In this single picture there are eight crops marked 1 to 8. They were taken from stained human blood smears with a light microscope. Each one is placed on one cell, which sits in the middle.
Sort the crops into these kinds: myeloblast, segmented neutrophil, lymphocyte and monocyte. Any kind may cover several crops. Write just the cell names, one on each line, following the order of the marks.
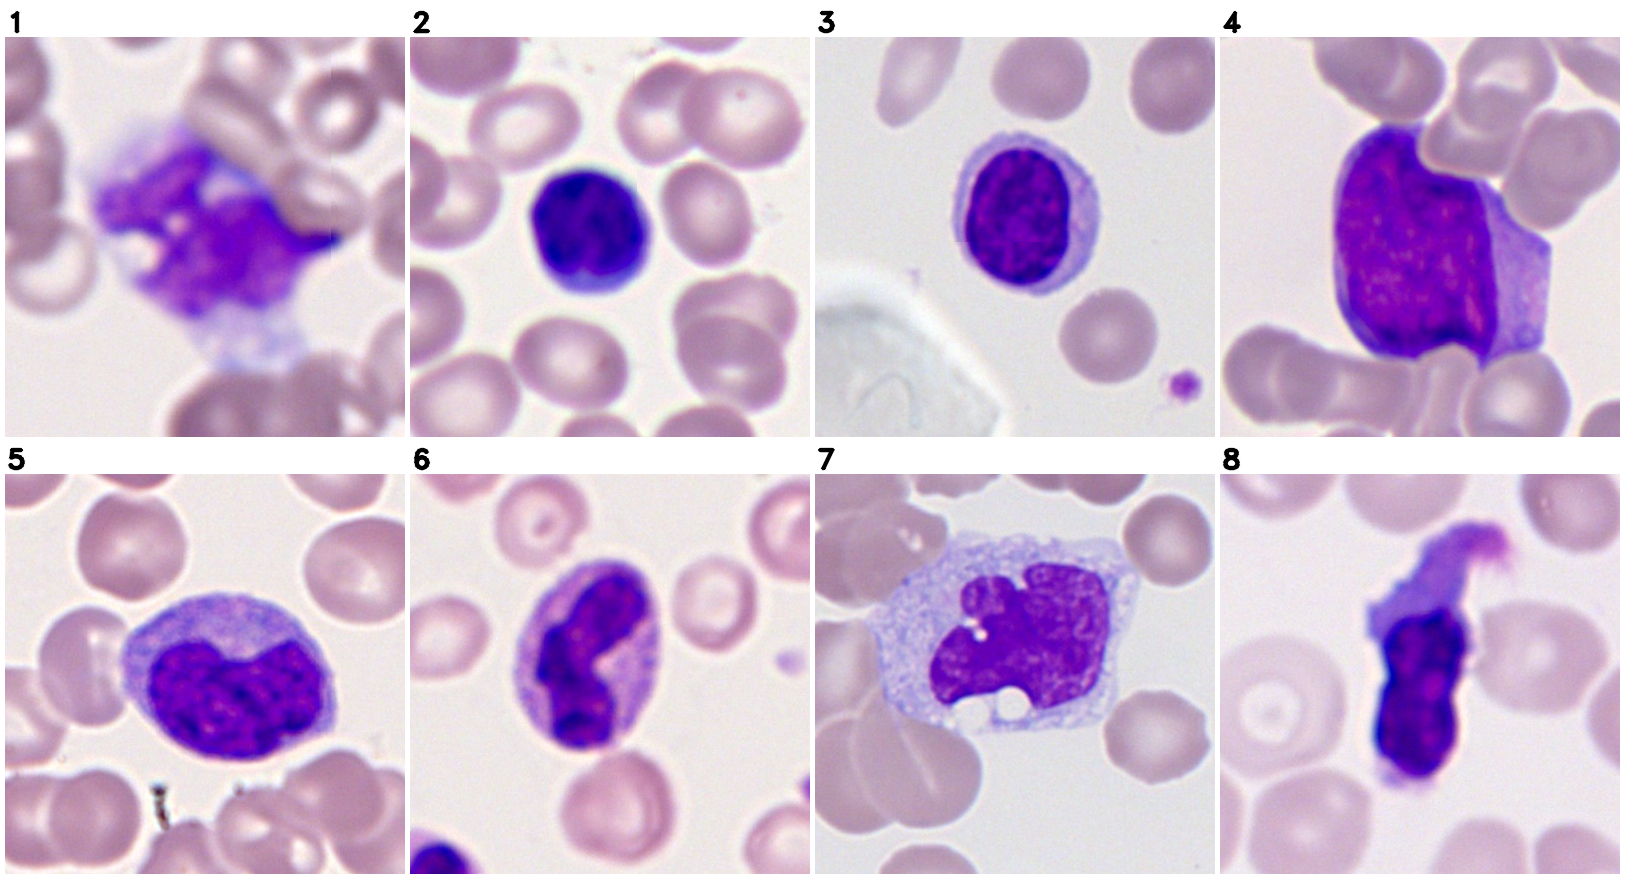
monocyte
lymphocyte
lymphocyte
myeloblast
monocyte
segmented neutrophil
monocyte
lymphocyte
